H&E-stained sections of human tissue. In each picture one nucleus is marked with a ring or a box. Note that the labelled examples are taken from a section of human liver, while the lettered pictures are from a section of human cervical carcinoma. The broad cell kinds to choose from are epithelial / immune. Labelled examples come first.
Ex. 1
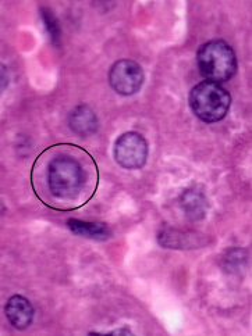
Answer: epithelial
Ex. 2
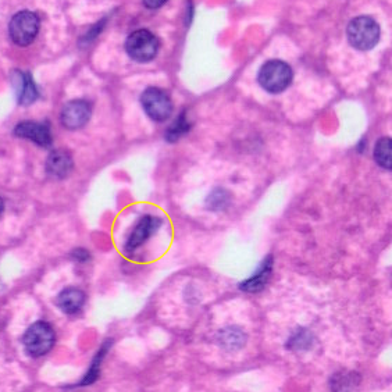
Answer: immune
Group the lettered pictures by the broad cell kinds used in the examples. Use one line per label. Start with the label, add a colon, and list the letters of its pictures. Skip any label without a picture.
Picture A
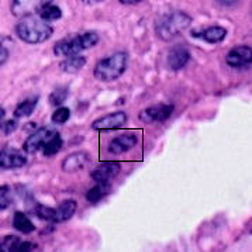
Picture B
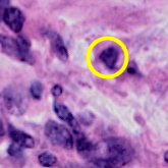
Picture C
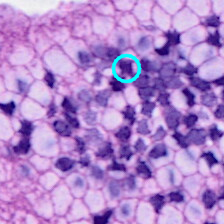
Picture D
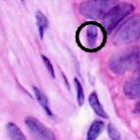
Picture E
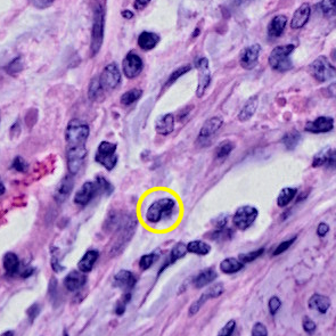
epithelial: A, C, D
immune: B, E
